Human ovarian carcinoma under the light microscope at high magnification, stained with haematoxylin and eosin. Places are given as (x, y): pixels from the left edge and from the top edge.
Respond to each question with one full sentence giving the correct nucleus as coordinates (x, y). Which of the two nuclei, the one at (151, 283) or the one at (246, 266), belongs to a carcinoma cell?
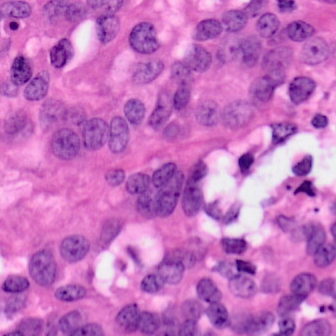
The nucleus at (246, 266) is contained in a carcinoma cell.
